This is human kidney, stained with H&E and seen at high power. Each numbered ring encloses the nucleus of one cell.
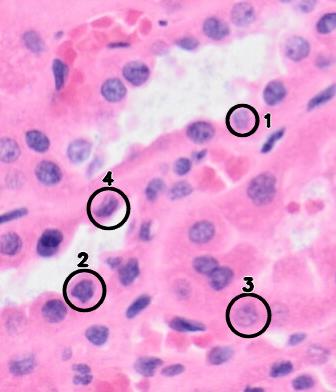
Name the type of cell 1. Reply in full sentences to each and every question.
Within this field of view, the cell labelled 1 is a loop of Henle or distal tubule cell.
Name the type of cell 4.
Looking at the numbered marks, cell 4 is a loop of Henle or distal tubule cell.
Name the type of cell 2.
The mark numbered 2 indicates the nucleus of a loop of Henle or distal tubule cell.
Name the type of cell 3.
The cell that is numbered 3 is a proximal tubule cell.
